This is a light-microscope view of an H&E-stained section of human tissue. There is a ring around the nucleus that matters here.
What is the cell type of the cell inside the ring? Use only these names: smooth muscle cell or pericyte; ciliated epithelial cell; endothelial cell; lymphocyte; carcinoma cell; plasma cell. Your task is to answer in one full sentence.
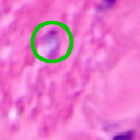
What the cell inside the ring represents is a smooth muscle cell or pericyte.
